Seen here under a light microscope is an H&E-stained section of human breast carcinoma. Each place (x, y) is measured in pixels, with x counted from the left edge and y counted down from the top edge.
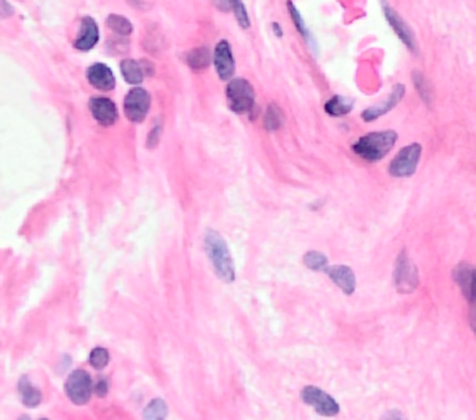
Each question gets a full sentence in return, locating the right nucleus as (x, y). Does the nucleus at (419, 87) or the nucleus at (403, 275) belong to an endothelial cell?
Of the two, the nucleus lying at (419, 87) is the one belonging to an endothelial cell.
